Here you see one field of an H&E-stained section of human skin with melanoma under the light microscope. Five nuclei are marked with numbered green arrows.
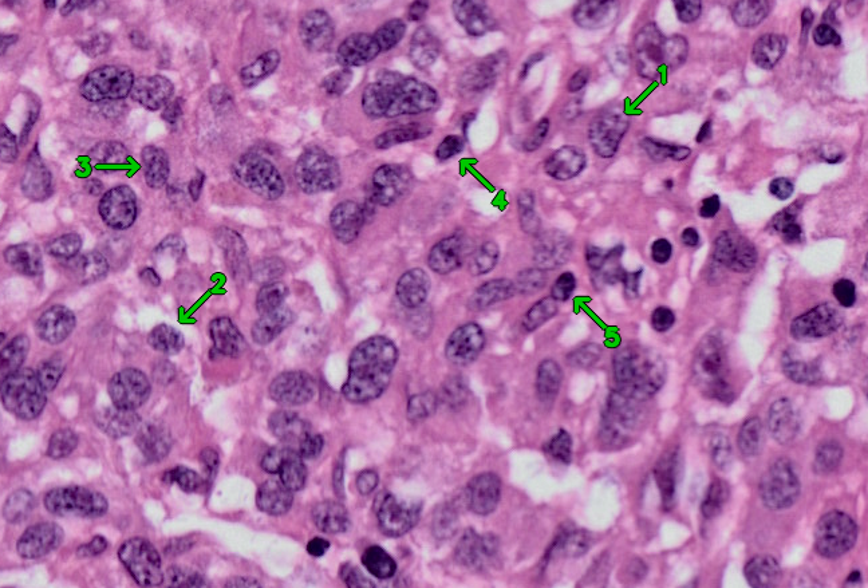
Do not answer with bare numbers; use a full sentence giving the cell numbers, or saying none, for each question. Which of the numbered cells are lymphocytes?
The cells marked with the numbers 4 and 5 are lymphocytes.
